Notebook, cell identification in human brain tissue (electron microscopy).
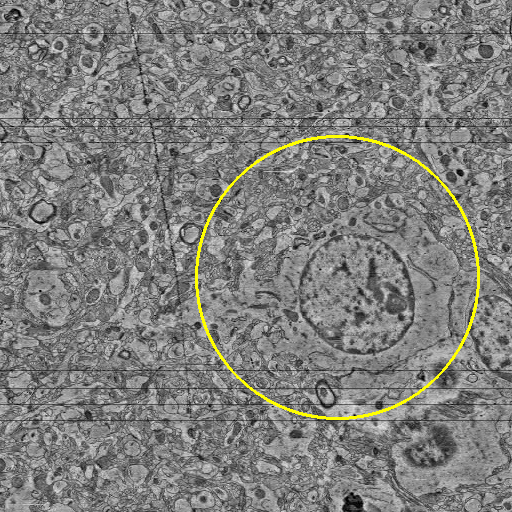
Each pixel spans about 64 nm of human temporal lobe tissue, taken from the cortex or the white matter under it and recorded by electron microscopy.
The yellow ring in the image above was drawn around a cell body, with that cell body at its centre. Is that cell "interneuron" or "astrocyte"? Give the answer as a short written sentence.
The cell in the ring is an astrocyte.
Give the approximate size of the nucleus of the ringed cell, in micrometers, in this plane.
About 8 micrometres across in this plane, for the nucleus.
